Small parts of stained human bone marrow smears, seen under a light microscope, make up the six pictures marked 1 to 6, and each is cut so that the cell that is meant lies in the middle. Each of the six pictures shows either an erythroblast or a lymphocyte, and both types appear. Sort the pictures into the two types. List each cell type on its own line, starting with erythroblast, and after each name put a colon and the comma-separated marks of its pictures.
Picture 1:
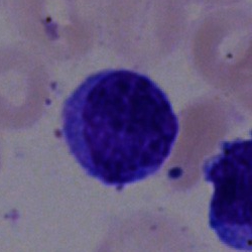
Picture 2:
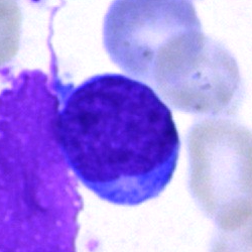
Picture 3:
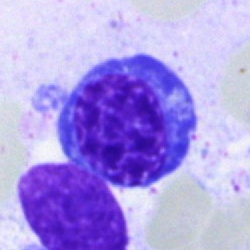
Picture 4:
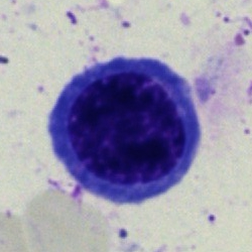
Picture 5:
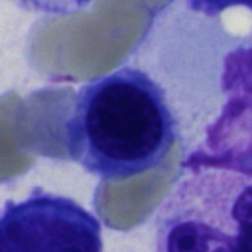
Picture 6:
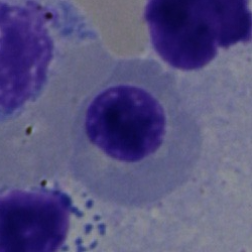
erythroblast: 3, 4, 5, 6
lymphocyte: 1, 2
